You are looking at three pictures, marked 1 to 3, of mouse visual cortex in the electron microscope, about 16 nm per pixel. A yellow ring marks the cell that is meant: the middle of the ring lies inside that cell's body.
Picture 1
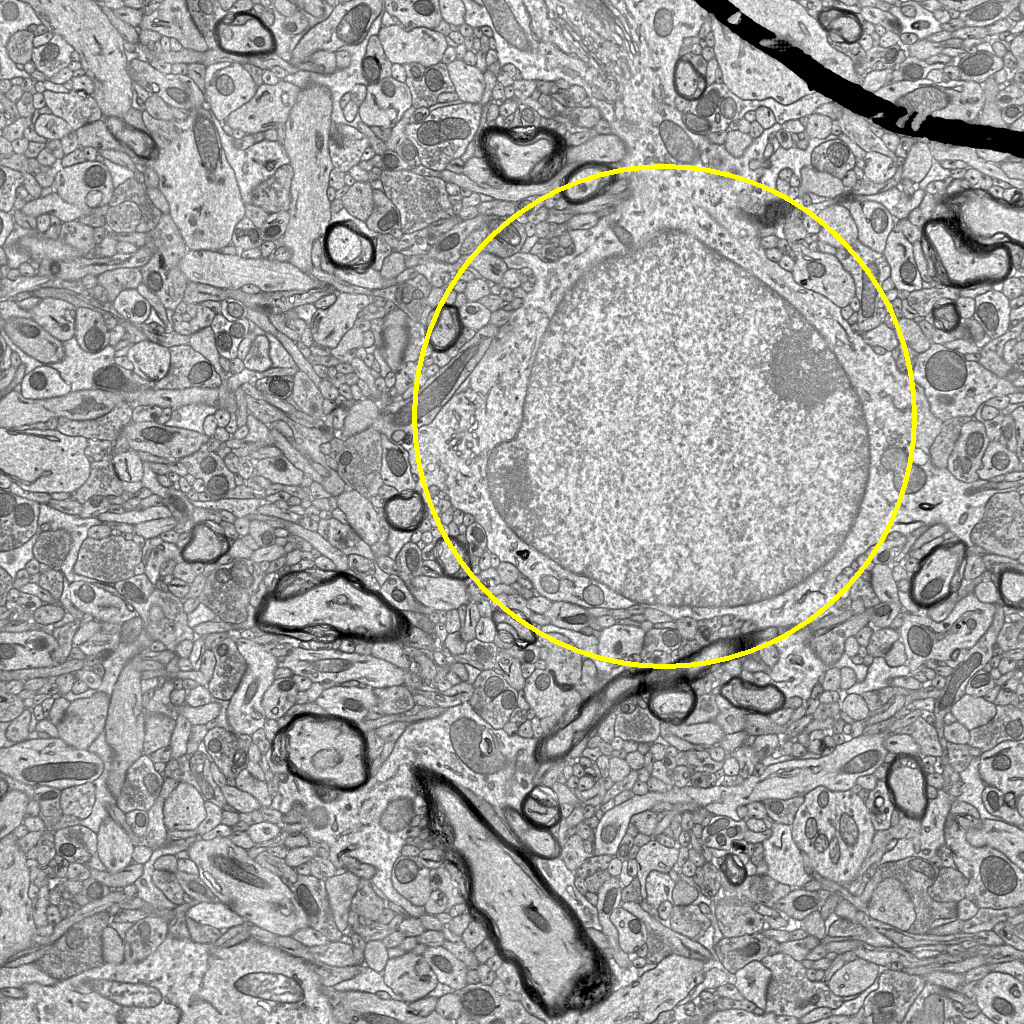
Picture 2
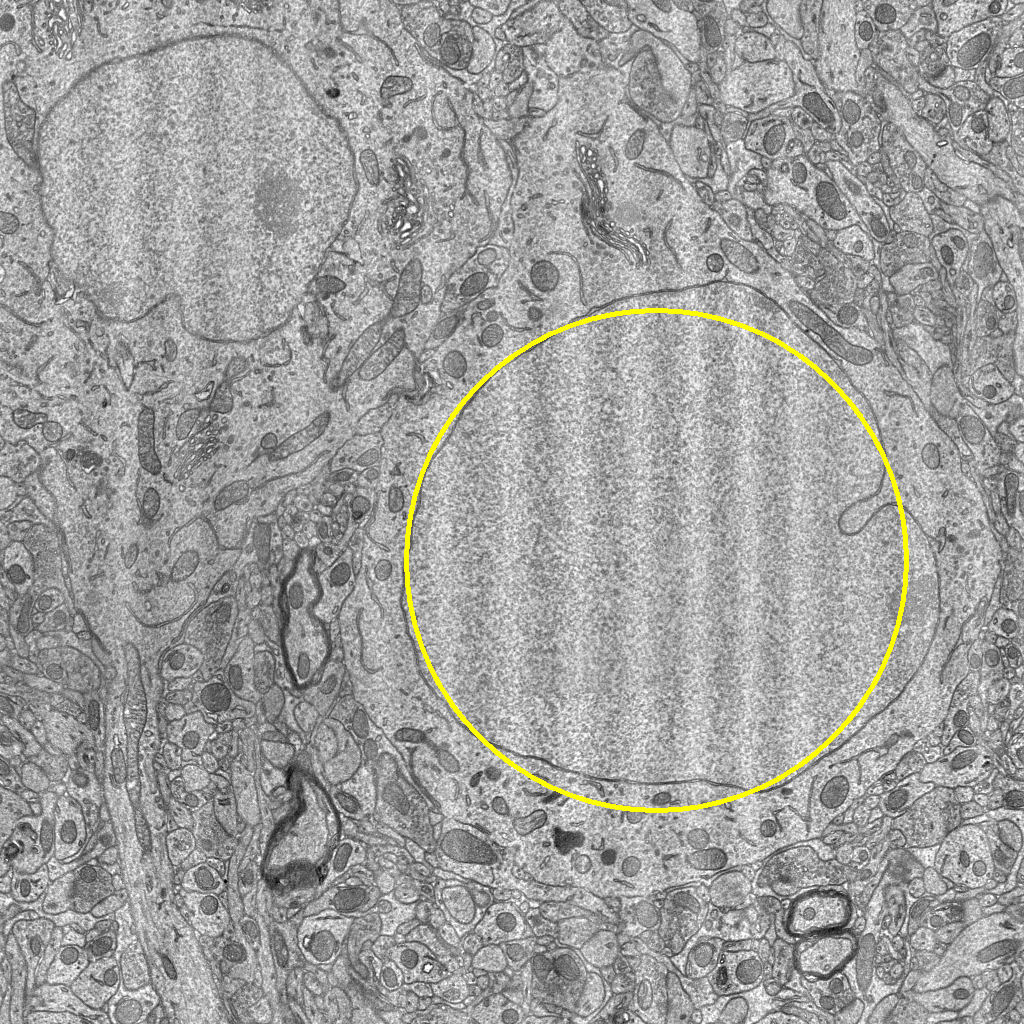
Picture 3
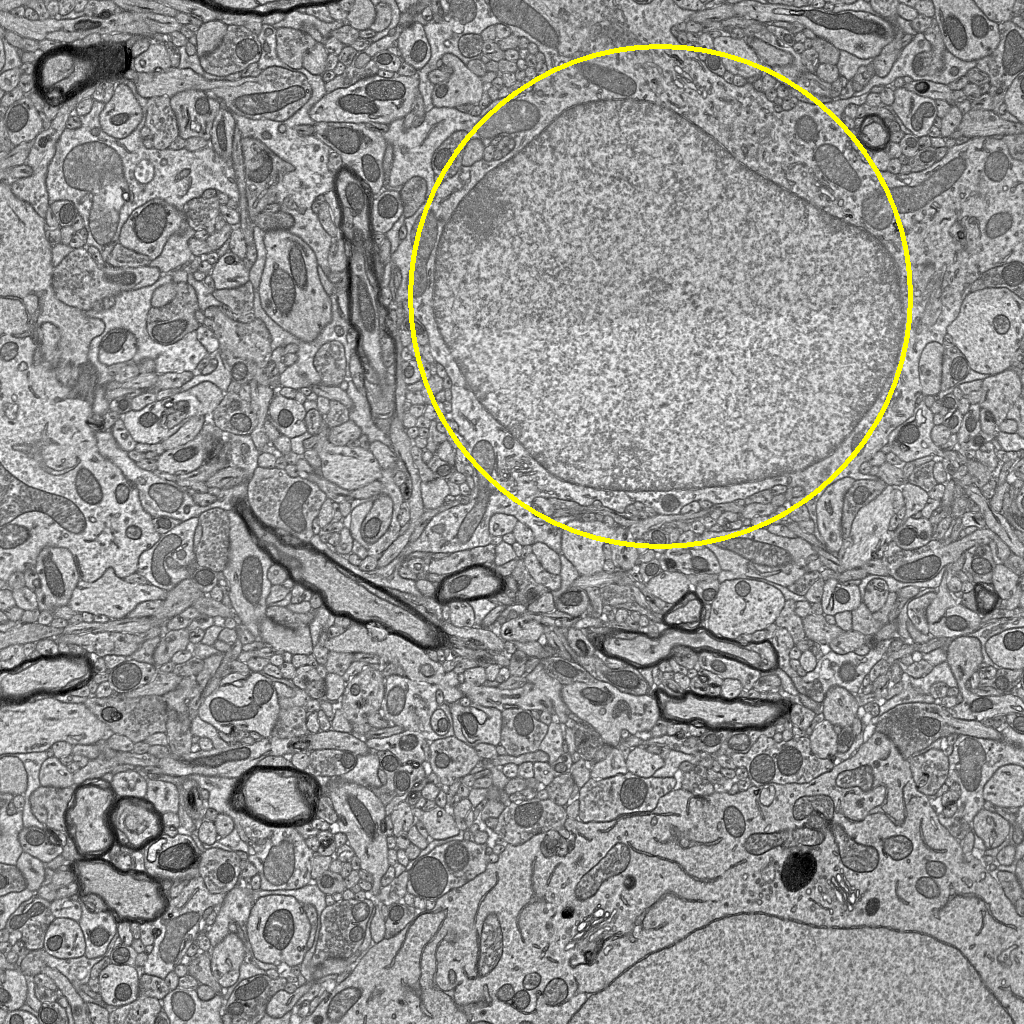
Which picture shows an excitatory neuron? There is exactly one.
It is picture 2 that shows the excitatory neuron.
